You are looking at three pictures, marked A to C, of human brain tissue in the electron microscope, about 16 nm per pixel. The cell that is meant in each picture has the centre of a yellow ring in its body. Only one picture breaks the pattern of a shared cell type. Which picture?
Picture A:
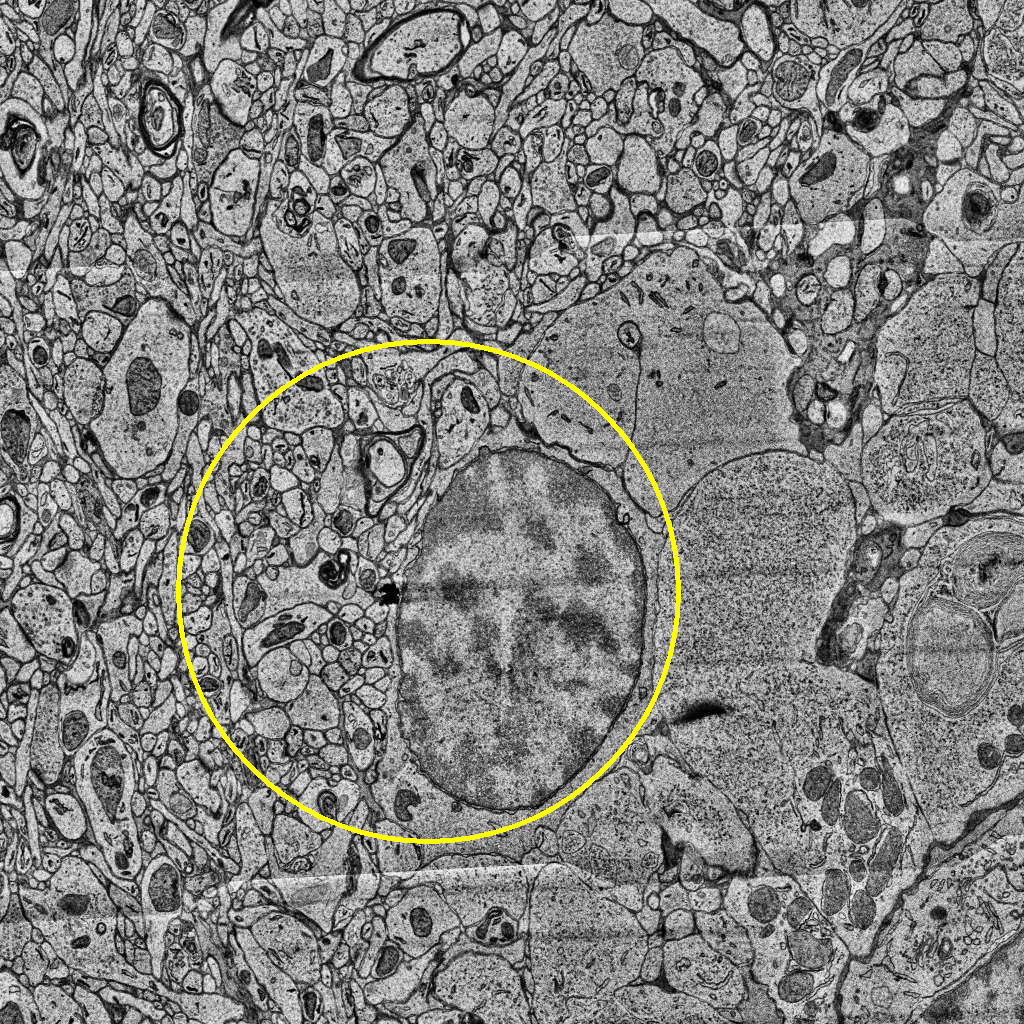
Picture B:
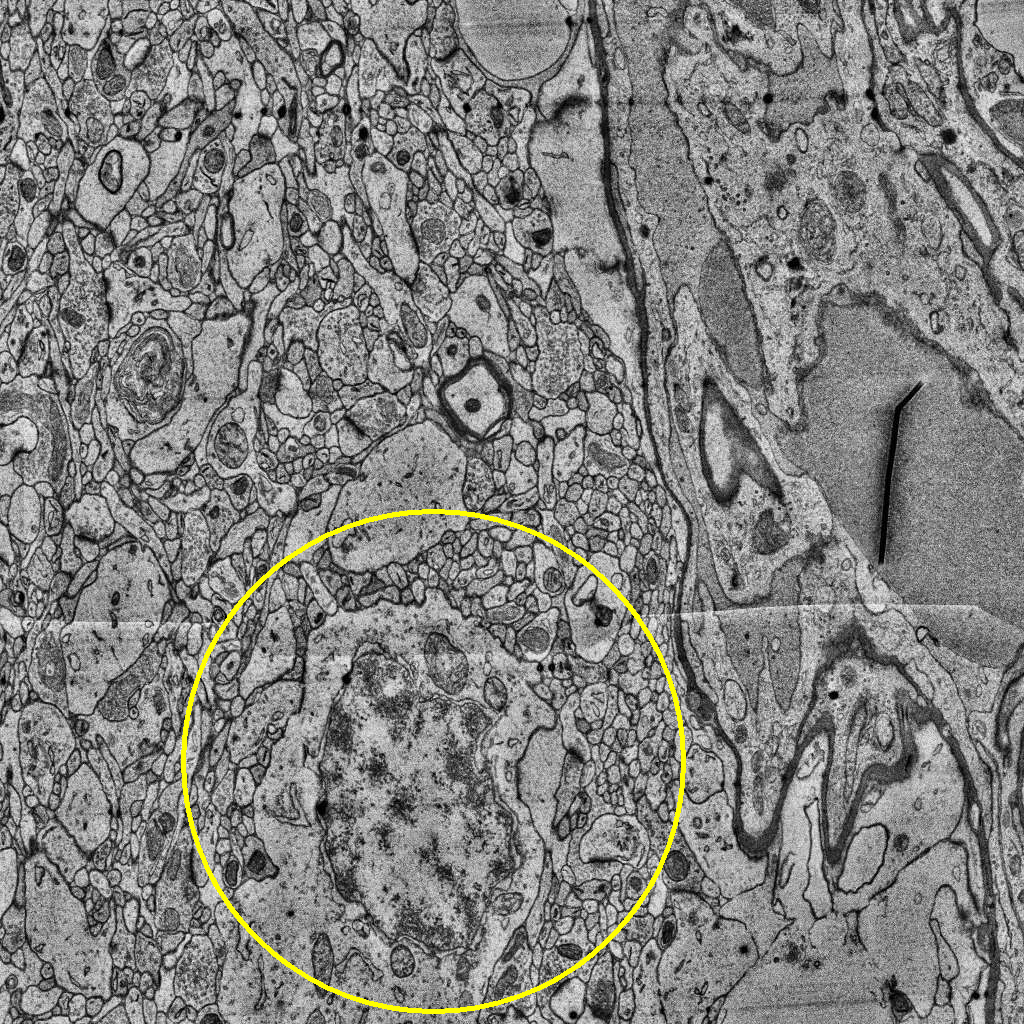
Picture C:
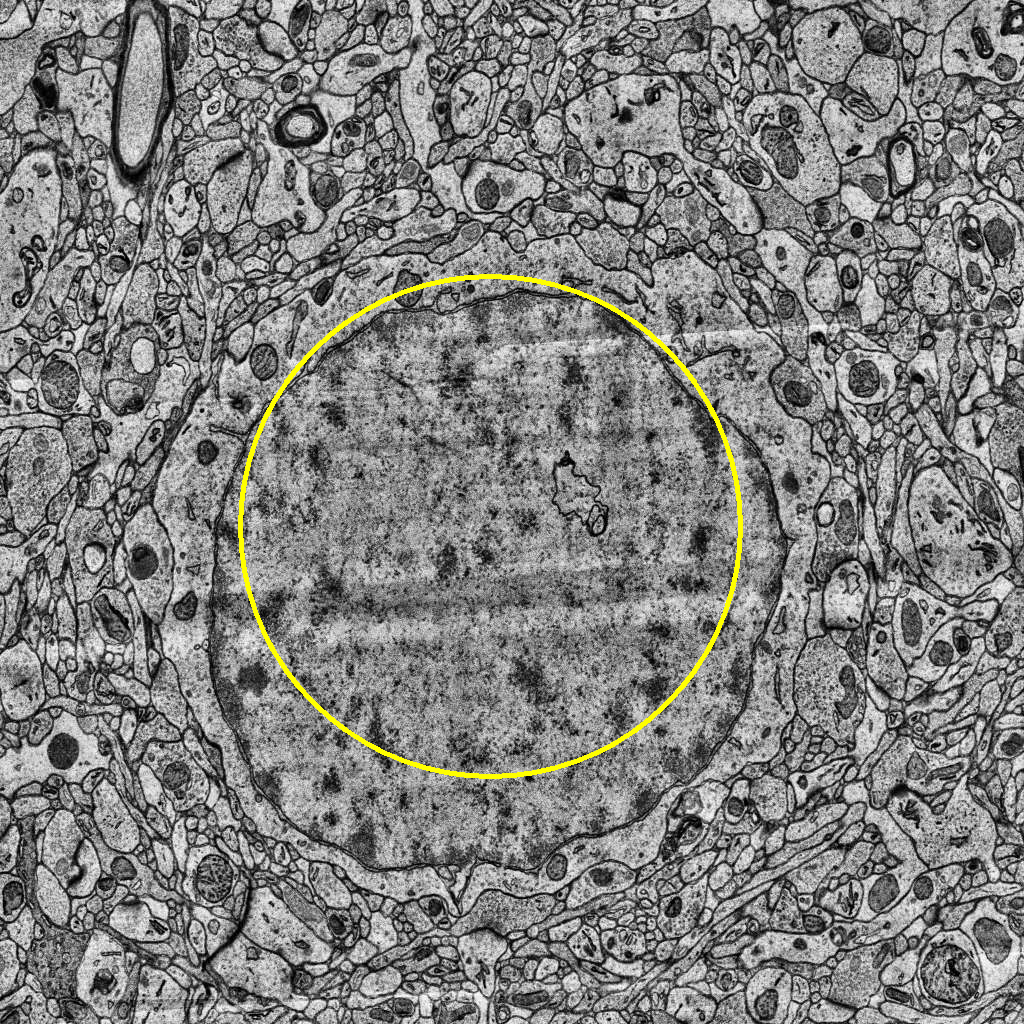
The others show interneurons, but picture A shows an oligodendrocyte.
